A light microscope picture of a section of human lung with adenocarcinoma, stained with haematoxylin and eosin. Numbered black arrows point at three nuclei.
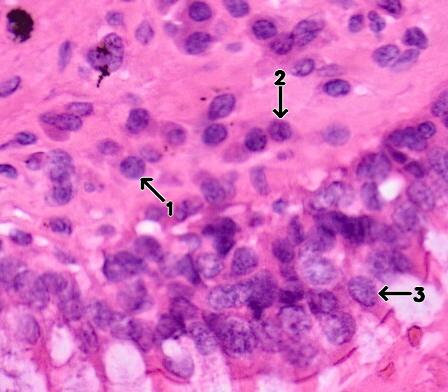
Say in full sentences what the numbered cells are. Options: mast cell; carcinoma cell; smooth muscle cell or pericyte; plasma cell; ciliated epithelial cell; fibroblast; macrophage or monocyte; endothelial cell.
Cells 1 and 2 are plasma cells. Cell 3 is a ciliated epithelial cell.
